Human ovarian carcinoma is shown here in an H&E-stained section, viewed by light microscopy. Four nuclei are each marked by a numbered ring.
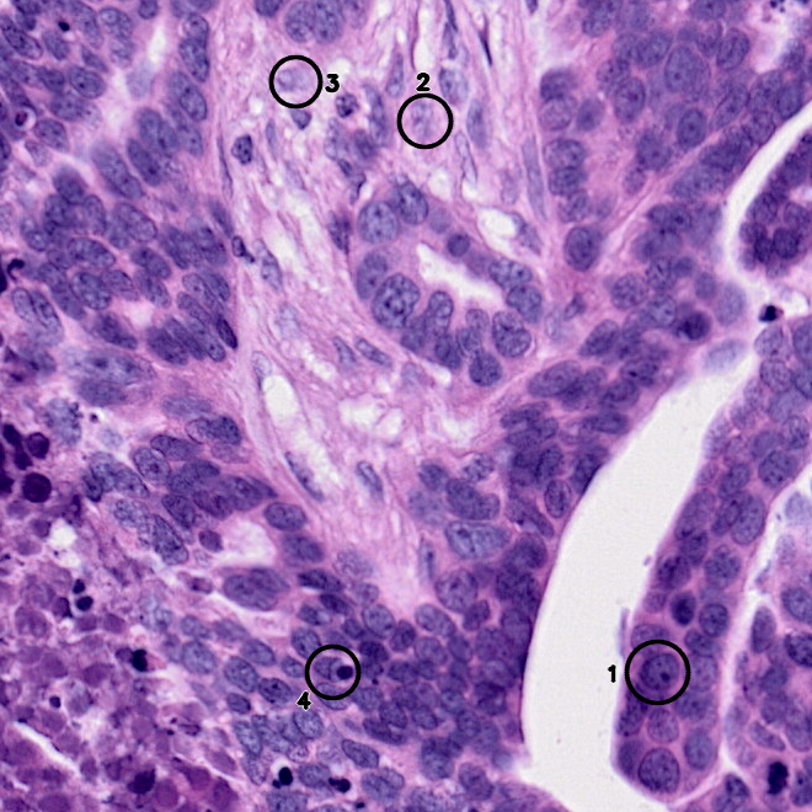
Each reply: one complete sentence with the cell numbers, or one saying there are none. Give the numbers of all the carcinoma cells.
Within the section, cells numbered 1 and 4 are carcinoma cells.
